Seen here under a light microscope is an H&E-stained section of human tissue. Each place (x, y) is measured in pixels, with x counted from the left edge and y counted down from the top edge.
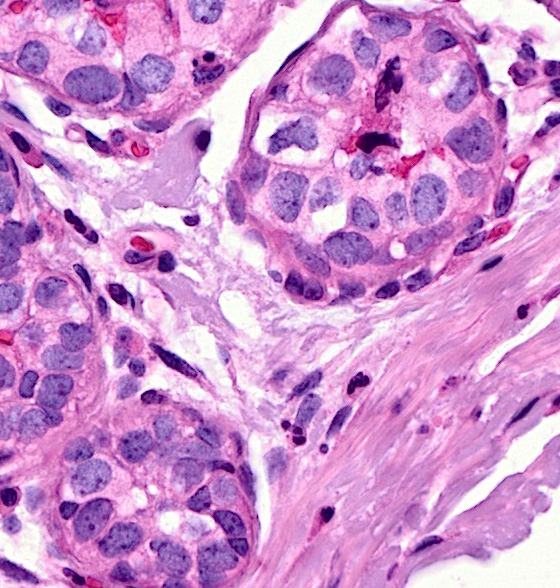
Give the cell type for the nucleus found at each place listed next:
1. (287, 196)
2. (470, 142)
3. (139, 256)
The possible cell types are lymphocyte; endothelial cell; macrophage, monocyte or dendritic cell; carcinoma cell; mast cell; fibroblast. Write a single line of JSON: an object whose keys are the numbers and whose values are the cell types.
{"1": "carcinoma cell", "2": "carcinoma cell", "3": "endothelial cell"}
